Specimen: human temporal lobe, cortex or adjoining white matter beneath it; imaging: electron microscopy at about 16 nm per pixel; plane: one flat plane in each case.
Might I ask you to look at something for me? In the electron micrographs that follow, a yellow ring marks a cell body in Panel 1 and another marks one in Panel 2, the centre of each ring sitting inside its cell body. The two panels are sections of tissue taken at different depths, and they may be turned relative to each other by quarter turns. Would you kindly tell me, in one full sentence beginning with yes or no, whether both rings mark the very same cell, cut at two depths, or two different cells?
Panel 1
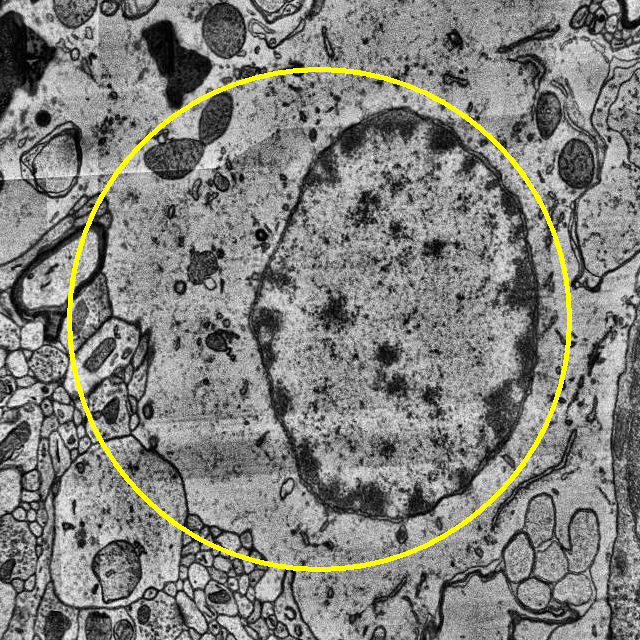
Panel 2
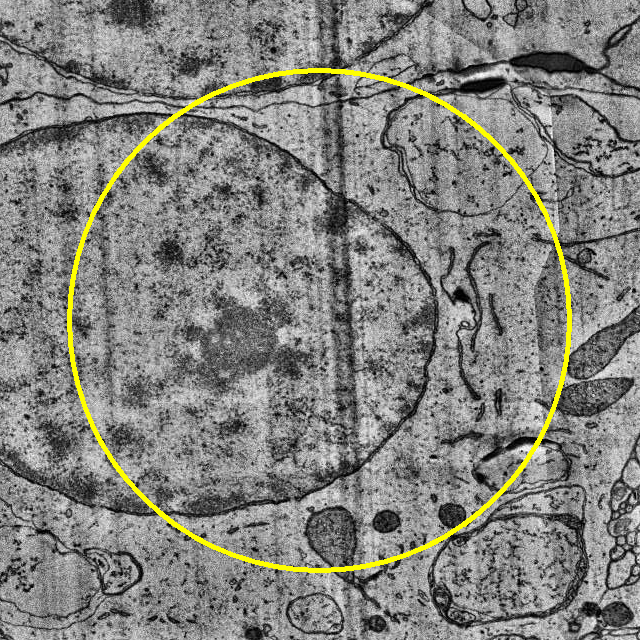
No, the two rings were placed on two different cells.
